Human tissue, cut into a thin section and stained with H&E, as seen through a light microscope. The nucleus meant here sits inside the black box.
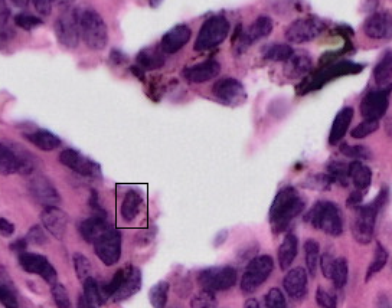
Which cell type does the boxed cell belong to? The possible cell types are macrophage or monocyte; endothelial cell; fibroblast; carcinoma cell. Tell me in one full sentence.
To be brief about it, the boxed cell is a macrophage or monocyte.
